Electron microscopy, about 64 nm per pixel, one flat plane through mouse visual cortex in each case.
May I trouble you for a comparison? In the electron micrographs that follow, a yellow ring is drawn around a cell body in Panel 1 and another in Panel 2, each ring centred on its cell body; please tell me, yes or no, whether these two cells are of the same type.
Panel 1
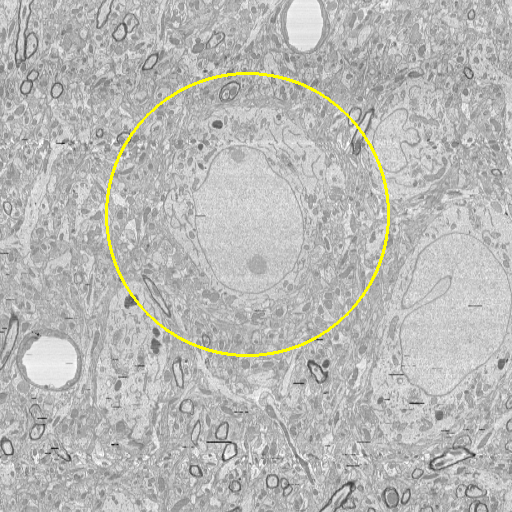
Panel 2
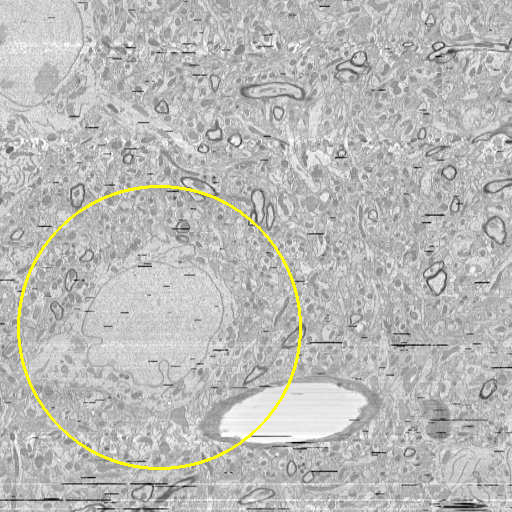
yes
